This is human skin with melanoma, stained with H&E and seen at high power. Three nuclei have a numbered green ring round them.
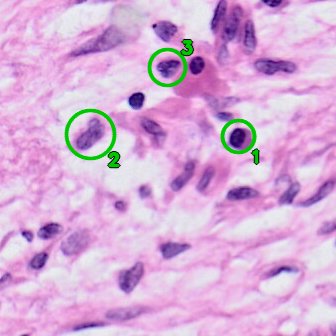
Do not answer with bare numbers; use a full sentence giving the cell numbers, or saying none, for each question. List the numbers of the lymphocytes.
Cell 3 represents a lymphocyte, and no other numbered cell does.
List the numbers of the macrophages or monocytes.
Only the nucleus marked 2 is that of a macrophage or monocyte.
